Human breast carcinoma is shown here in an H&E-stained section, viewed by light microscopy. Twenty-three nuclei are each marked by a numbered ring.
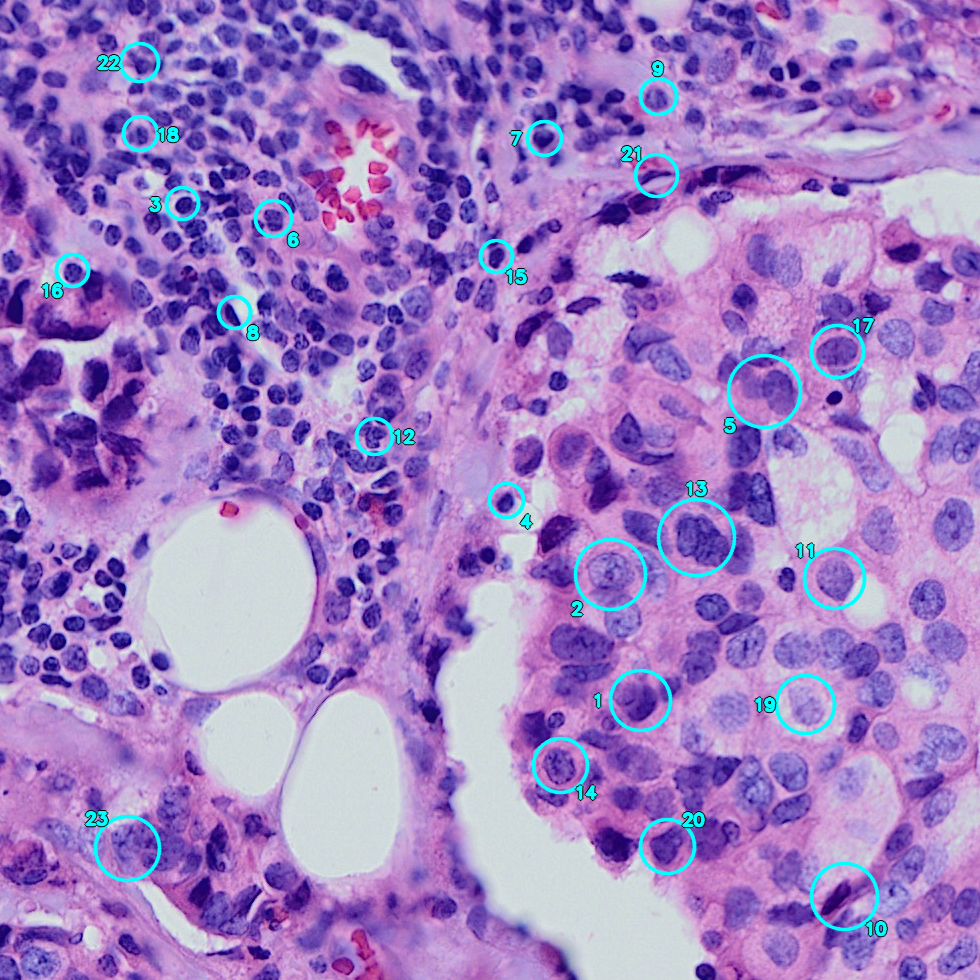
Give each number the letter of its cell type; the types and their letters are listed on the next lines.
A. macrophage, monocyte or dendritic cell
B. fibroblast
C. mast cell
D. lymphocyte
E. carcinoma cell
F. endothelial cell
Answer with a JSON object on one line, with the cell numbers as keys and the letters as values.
{"1": "E", "2": "E", "3": "D", "4": "D", "5": "E", "6": "D", "7": "D", "8": "D", "9": "C", "10": "E", "11": "E", "12": "D", "13": "E", "14": "E", "15": "D", "16": "D", "17": "E", "18": "D", "19": "E", "20": "E", "21": "F", "22": "D", "23": "E"}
